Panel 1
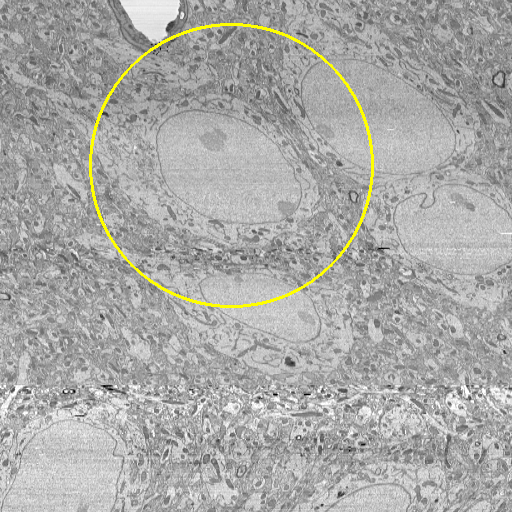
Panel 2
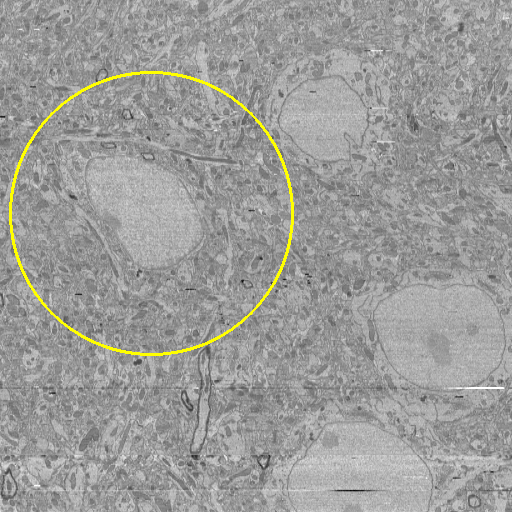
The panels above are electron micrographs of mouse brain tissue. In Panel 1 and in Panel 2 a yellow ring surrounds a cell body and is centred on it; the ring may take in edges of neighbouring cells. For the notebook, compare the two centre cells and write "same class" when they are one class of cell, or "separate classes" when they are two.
separate classes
